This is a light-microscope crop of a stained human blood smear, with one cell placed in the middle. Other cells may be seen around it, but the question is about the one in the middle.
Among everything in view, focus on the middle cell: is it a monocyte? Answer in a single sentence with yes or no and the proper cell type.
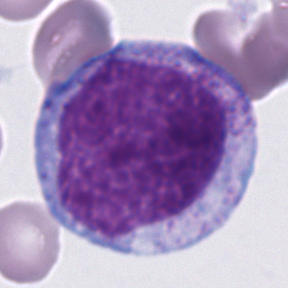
No, the middle cell is not a monocyte, it being a promyelocyte.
